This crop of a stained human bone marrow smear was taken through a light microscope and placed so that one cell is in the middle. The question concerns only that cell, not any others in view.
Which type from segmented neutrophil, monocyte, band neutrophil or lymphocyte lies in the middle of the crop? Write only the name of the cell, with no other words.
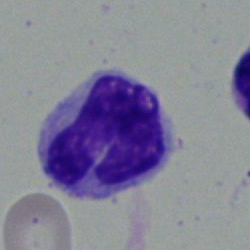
monocyte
